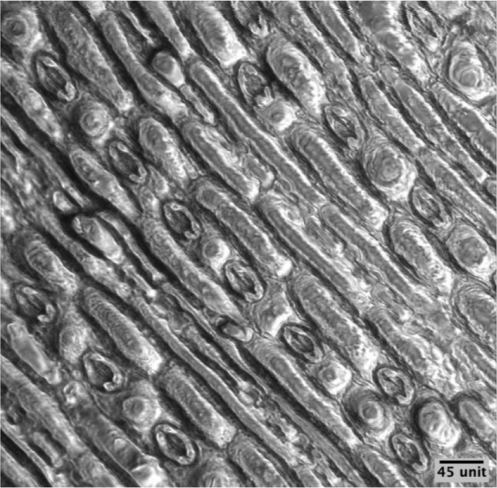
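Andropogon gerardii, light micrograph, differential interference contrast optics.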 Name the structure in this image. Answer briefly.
stomata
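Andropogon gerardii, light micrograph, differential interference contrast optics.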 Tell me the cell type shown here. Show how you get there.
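Elongated cells with parallel walls run in parallel files. Small rounded cells sit between the long cells within the files.
Epidermal cells.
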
